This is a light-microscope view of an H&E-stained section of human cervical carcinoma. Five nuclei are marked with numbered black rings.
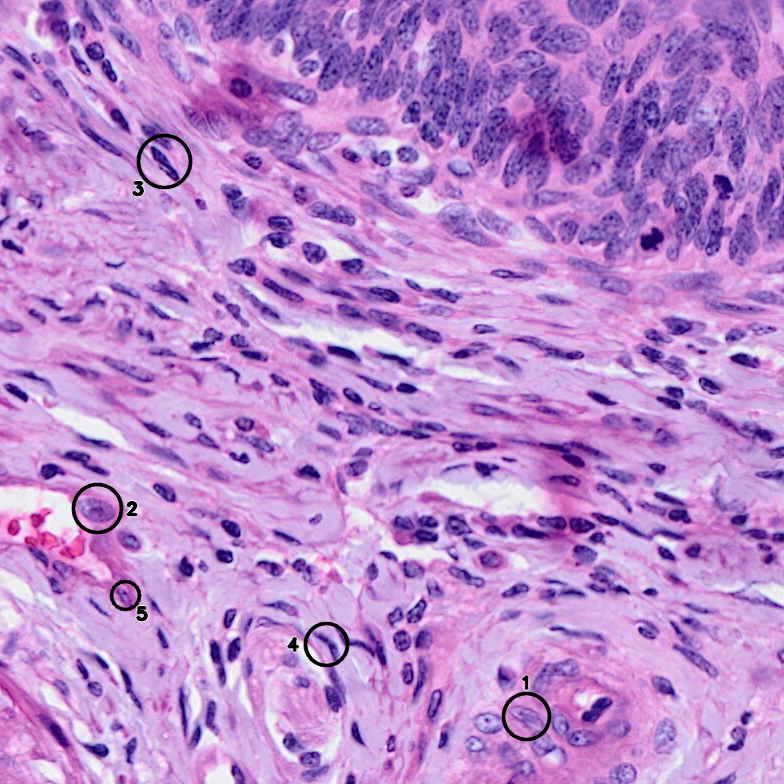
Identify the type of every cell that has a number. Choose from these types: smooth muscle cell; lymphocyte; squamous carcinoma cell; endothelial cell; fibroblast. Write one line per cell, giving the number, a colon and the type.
1: smooth muscle cell
2: endothelial cell
3: lymphocyte
4: fibroblast
5: endothelial cell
